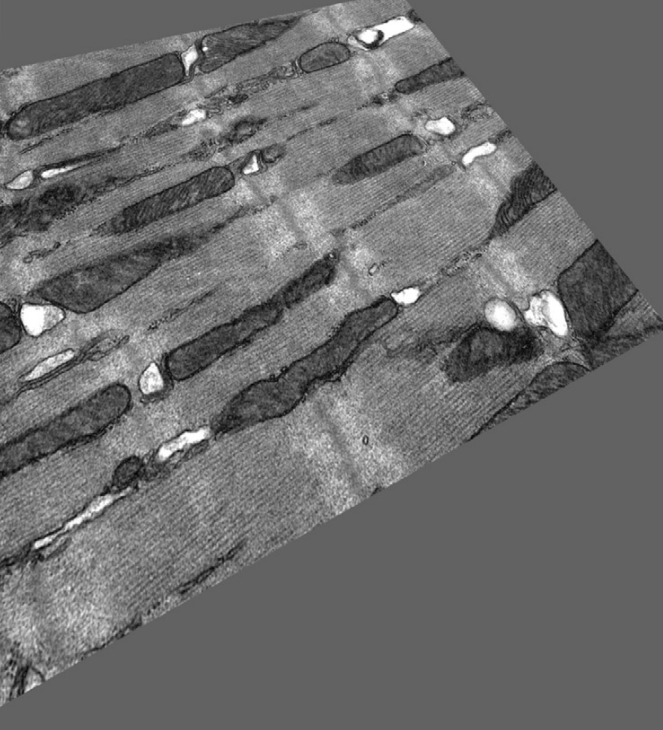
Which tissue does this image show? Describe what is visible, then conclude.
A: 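Parallel myofibrils with regular cross-striations. Many large mitochondria packed between the myofibrils.
Heart.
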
